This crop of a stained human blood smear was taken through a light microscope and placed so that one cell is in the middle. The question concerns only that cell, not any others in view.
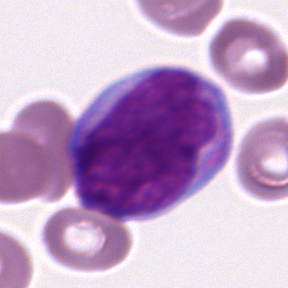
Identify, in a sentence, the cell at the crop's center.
The cell shown in the center of this light-microscope crop is an atypical promyelocyte.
